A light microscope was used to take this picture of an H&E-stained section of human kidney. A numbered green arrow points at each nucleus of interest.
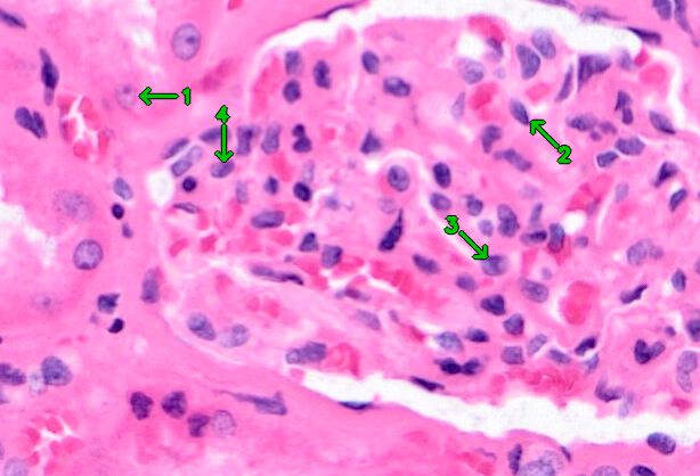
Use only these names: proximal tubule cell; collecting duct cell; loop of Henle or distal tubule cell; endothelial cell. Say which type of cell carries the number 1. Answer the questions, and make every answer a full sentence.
Cell number 1 in this section is a proximal tubule cell.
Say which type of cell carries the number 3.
The cell marked with number 3 is an endothelial cell.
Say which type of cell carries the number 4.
In the marked set, the cell given number 4 is an endothelial cell.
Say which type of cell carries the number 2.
The cell that goes by number 2 is an endothelial cell.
